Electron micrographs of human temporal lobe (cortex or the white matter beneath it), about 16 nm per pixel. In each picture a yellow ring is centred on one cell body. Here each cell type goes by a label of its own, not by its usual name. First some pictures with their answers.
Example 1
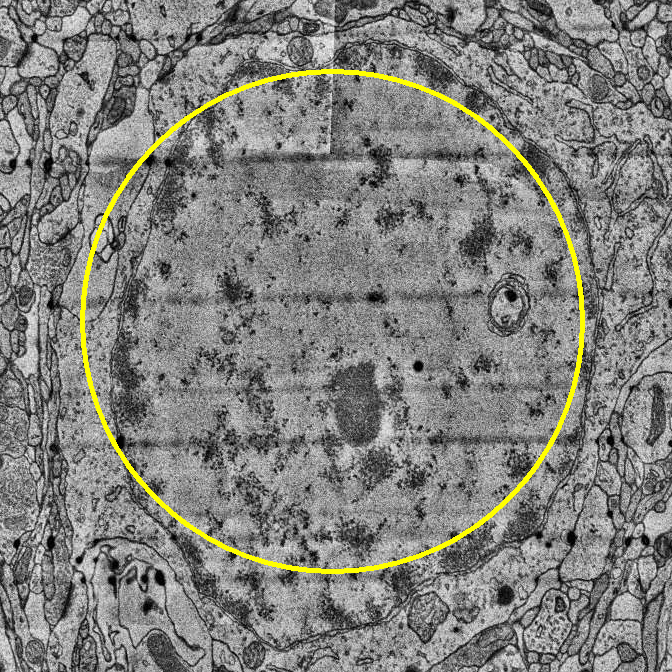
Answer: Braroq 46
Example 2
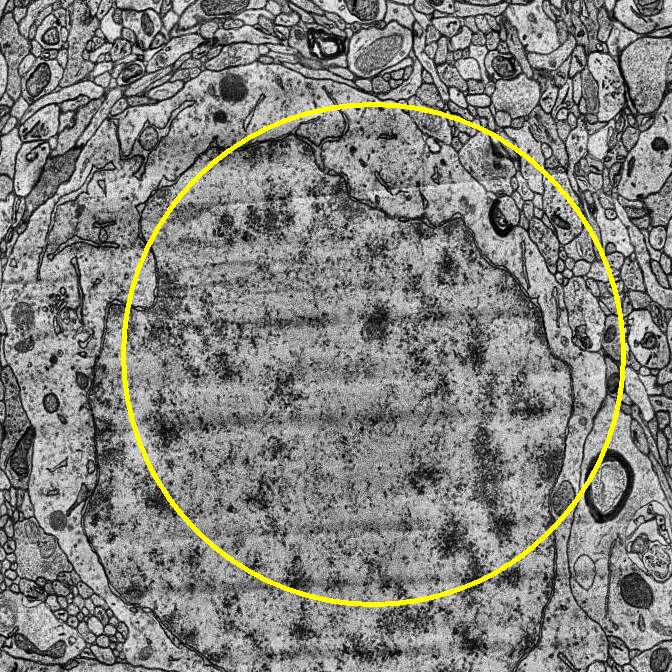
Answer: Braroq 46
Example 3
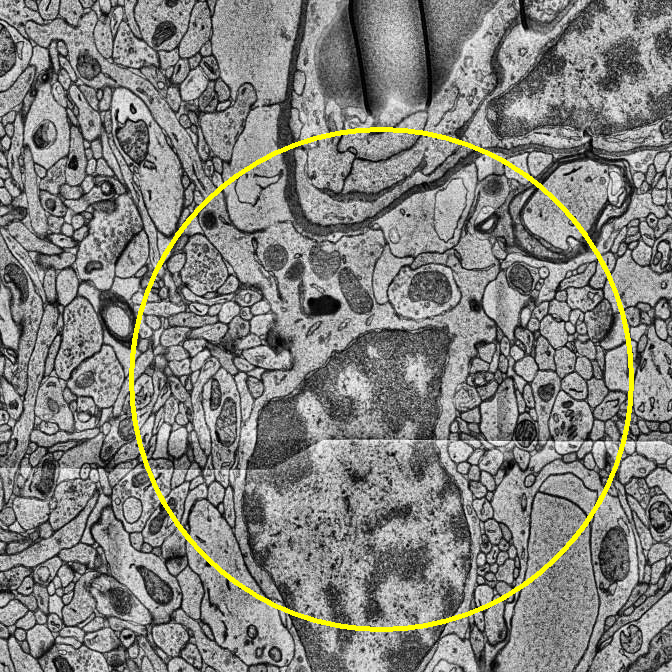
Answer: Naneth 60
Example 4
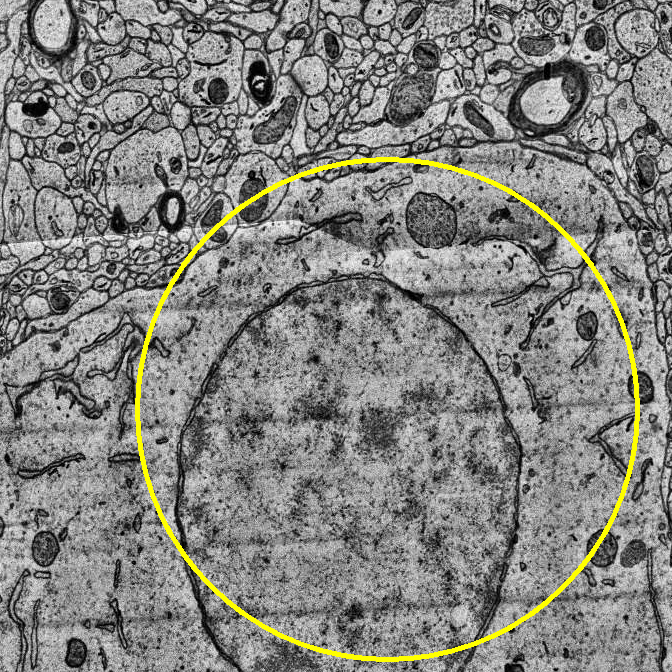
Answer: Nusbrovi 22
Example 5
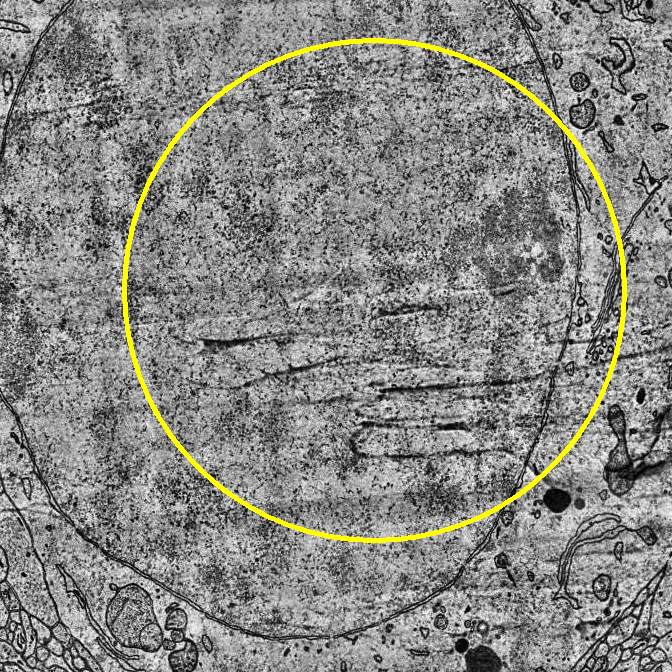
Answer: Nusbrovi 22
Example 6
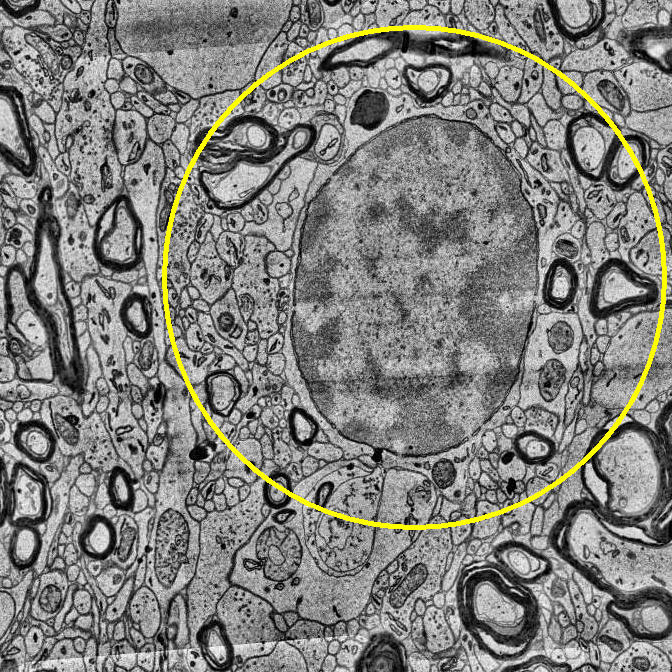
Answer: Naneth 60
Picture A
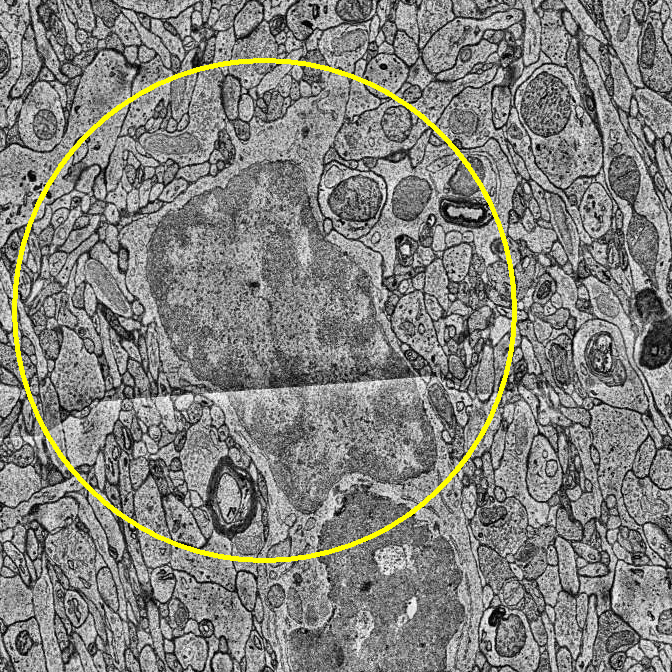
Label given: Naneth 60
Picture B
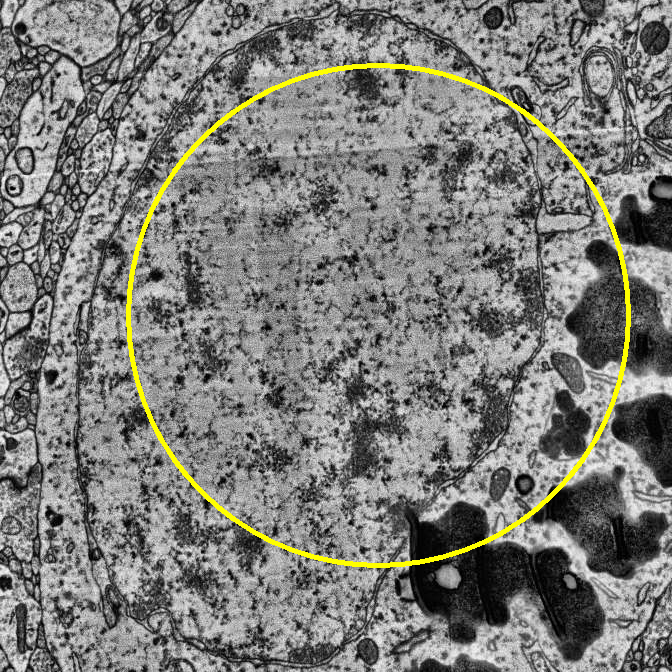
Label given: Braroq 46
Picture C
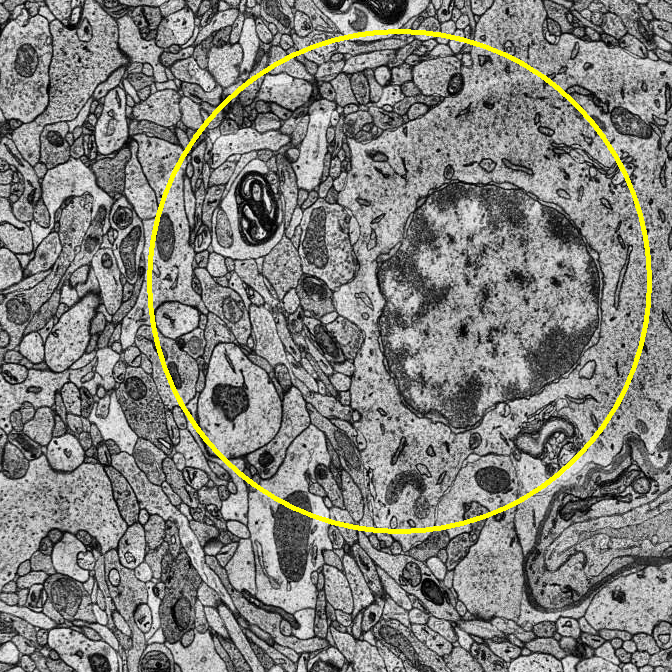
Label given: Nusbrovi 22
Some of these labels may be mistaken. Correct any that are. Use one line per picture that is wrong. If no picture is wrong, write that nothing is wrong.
C: Naneth 60, not Nusbrovi 22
